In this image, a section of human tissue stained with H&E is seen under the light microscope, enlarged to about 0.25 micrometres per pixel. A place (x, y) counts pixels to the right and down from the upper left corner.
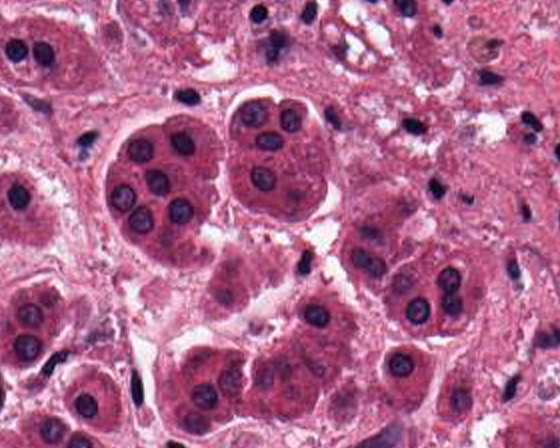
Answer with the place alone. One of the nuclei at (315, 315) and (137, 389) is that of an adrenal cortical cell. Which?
(315, 315)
